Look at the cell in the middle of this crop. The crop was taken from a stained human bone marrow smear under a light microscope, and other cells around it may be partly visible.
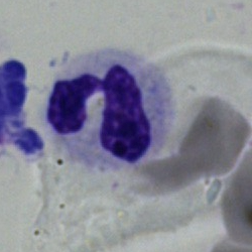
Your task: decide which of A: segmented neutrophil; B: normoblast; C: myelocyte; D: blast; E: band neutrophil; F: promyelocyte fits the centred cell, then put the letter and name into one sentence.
The cell in the centre of the crop is a segmented neutrophil, so option A is the correct one.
